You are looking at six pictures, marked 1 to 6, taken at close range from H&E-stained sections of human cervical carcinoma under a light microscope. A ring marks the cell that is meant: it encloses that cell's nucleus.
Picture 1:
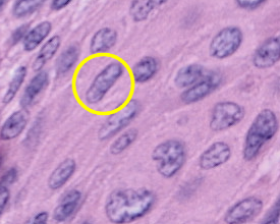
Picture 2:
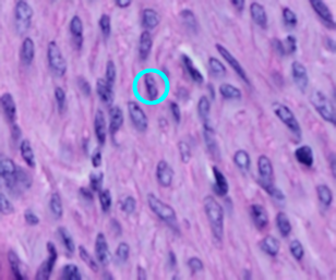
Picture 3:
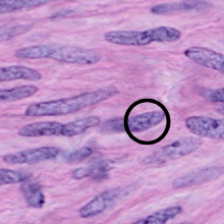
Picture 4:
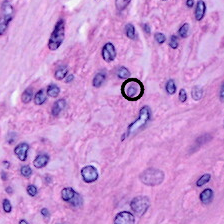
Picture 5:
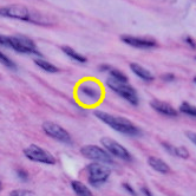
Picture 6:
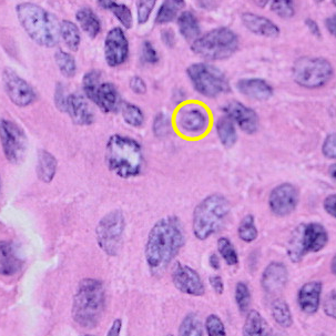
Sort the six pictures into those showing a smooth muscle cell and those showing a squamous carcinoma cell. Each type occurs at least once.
1: squamous carcinoma cell
2: smooth muscle cell
3: smooth muscle cell
4: smooth muscle cell
5: smooth muscle cell
6: squamous carcinoma cell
